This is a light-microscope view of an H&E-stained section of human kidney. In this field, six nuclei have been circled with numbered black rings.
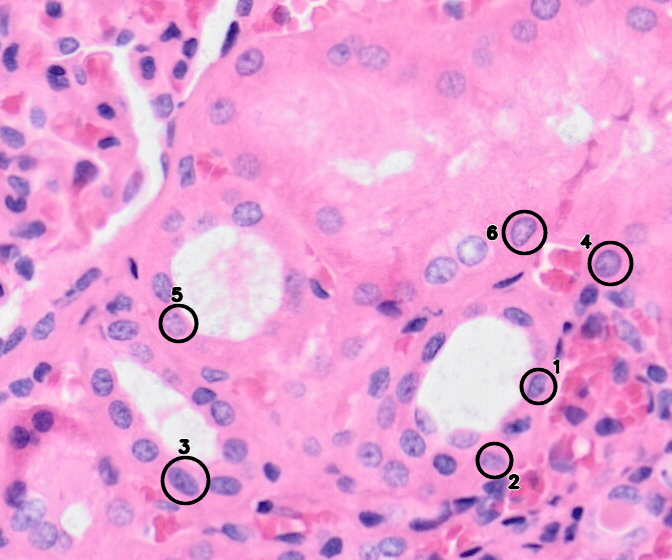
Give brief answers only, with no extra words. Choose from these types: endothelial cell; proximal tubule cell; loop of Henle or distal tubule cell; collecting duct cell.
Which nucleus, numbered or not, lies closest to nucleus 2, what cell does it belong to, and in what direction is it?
an endothelial cell below nucleus 2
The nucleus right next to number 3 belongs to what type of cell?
endothelial cell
